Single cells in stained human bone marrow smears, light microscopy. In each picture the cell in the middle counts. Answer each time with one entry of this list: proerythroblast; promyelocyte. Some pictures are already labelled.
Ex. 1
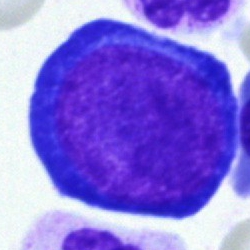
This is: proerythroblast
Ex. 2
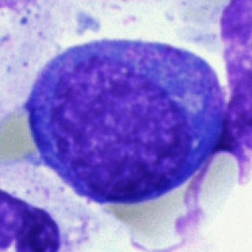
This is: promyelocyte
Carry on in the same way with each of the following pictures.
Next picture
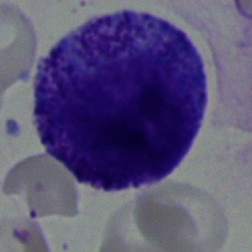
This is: promyelocyte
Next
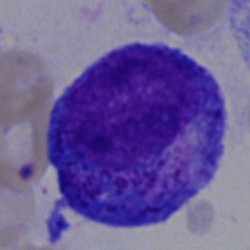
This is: promyelocyte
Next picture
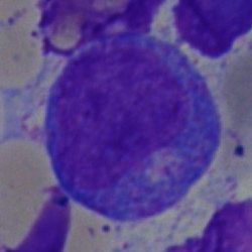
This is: promyelocyte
